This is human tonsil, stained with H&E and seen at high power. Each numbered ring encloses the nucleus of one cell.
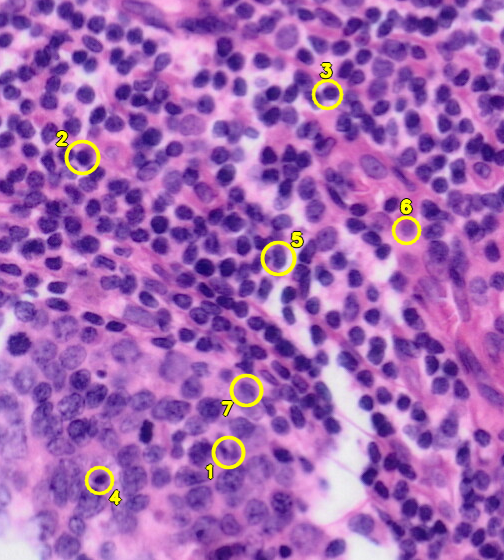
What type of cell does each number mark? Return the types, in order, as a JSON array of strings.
["proliferating B cell", "small lymphocyte", "small lymphocyte", "proliferating B cell", "small lymphocyte", "endothelial cell", "proliferating B cell"]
